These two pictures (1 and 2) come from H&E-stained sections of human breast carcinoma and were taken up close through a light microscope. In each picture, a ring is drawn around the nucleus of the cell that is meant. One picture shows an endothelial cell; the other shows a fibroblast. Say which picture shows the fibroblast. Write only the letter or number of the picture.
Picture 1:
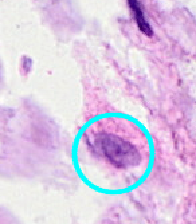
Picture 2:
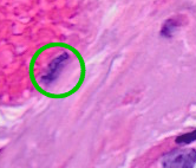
1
